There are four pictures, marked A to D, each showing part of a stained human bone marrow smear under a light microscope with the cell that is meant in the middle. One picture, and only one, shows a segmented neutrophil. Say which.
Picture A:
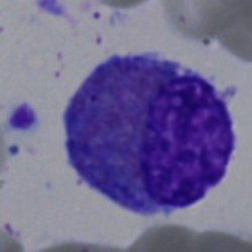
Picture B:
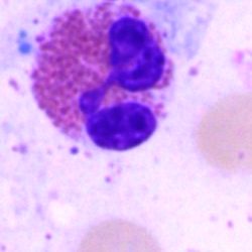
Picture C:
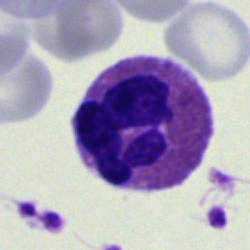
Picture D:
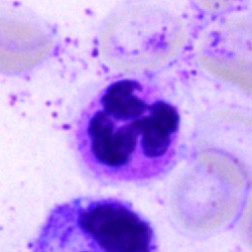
D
